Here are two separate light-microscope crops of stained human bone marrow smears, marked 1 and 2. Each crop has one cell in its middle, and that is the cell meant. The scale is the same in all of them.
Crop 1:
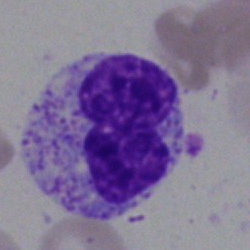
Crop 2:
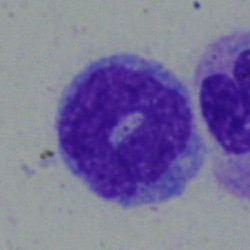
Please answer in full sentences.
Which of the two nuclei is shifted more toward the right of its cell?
Seen within its cell, the nucleus in crop 1 lies further toward the right.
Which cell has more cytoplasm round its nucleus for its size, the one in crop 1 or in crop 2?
It is the cell in crop 1 that is filled less by its nucleus.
